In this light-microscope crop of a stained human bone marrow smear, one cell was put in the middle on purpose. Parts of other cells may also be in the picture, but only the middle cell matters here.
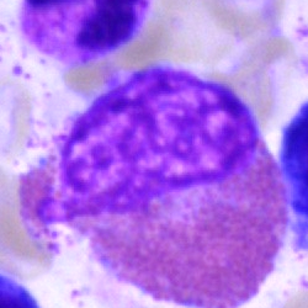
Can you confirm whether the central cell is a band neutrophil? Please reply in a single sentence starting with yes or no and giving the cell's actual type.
No, the cell occupying the centre is an eosinophil, not a band neutrophil.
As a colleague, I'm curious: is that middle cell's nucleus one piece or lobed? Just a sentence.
Have a look at the nucleus, which is one compact mass, round, oval or kidney-shaped.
